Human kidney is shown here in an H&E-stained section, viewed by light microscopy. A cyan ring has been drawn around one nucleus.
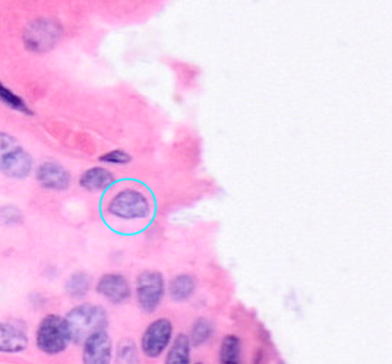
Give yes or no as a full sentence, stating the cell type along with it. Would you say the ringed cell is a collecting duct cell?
Yes, the ringed cell is to be classified as a collecting duct cell.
